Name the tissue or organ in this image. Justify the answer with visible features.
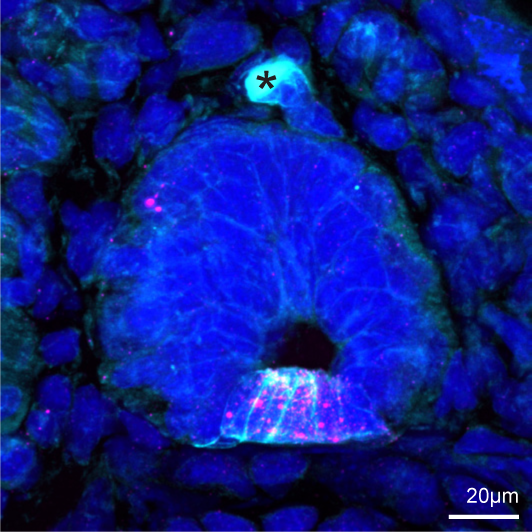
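A round, densely nucleated tube is cut in cross section. A small dark lumen lies within it, toward the bottom. The answer: Spinal cord.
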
